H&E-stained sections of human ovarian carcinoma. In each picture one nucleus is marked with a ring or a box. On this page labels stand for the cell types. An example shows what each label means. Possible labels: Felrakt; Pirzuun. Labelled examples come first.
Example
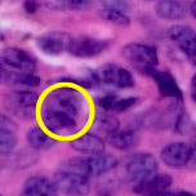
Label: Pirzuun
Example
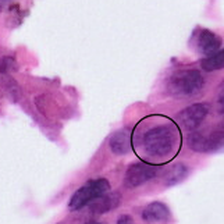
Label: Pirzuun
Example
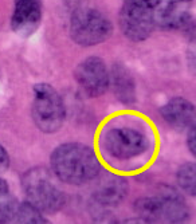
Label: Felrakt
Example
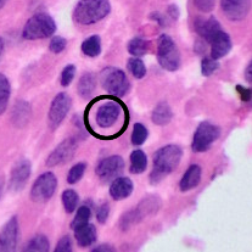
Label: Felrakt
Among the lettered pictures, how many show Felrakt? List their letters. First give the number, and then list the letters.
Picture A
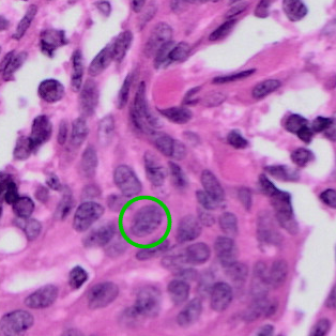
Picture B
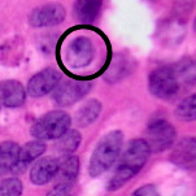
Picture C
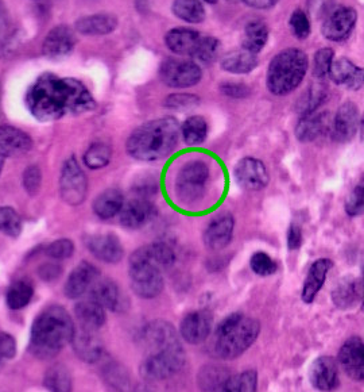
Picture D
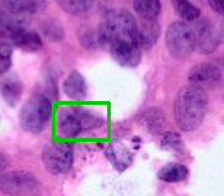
Count: 1 (B)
